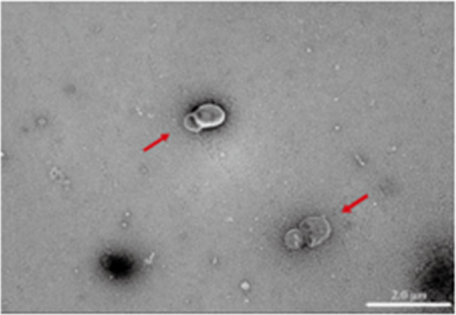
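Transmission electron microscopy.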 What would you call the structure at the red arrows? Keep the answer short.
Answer: microvesicles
